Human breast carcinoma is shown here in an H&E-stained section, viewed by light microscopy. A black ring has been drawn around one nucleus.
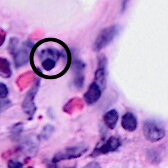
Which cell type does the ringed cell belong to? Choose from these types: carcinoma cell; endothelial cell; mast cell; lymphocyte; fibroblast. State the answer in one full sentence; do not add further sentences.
In this tissue sample, the ringed cell is a lymphocyte.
